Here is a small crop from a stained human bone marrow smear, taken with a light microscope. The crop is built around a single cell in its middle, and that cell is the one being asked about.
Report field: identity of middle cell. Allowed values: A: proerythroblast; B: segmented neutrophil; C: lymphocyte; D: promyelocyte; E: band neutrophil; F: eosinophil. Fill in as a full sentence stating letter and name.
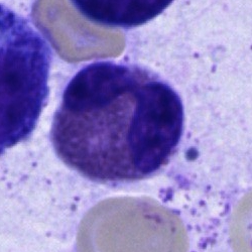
The cell in the center of this crop is an eosinophil, so option F is the one to pick.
